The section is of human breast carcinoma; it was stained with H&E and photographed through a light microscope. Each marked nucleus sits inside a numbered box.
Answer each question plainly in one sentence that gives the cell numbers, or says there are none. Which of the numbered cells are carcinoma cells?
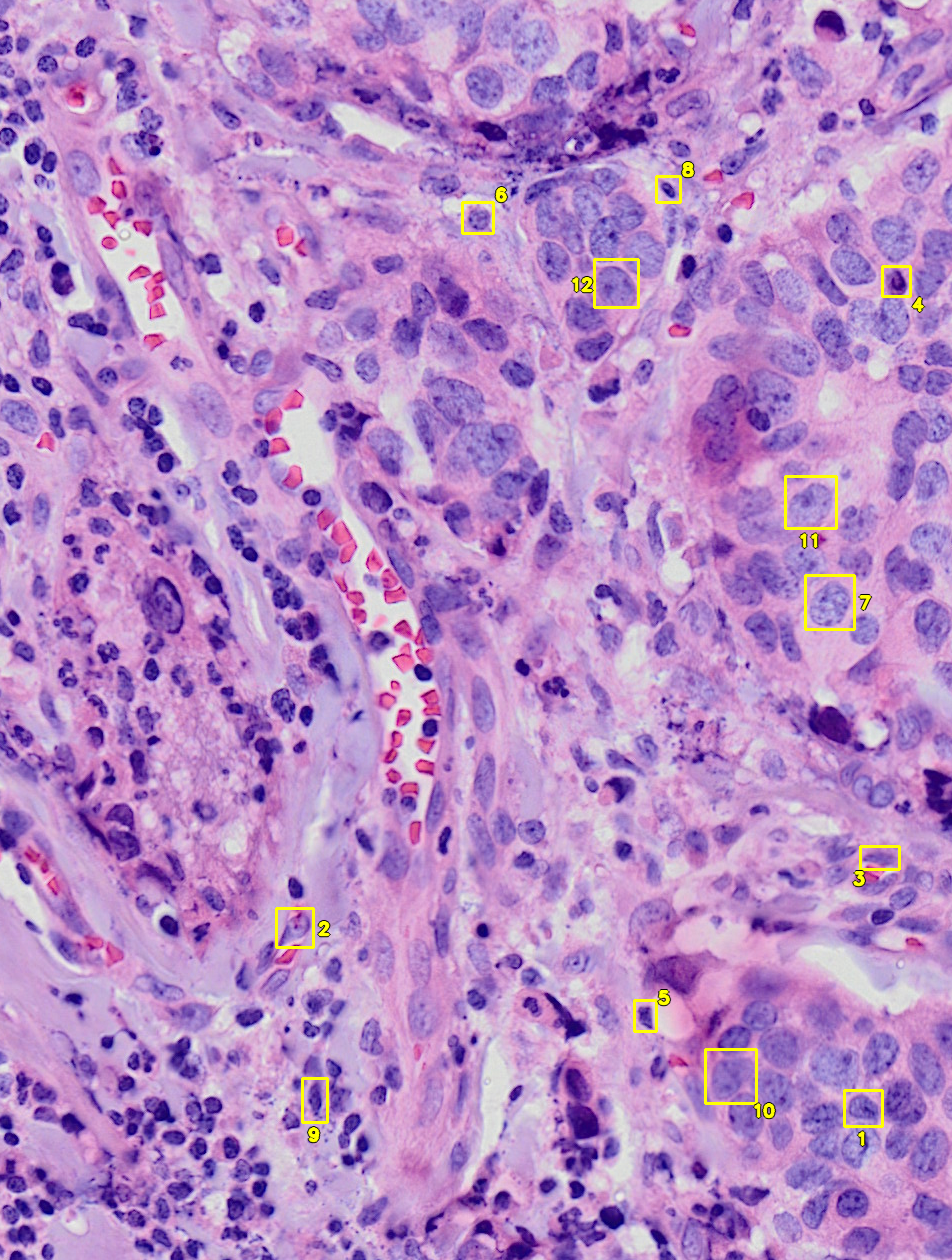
The identity of cells 1, 4, 7, 10, 11 and 12: they are carcinoma cells.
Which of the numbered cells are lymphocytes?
The cells with numbers 5, 8 and 9 are lymphocytes by type.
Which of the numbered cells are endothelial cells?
The cells tagged 2 and 3 are endothelial cells in this tissue section.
